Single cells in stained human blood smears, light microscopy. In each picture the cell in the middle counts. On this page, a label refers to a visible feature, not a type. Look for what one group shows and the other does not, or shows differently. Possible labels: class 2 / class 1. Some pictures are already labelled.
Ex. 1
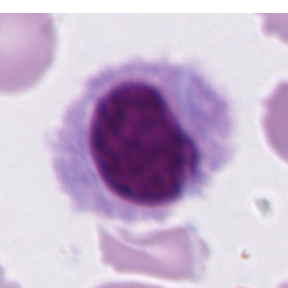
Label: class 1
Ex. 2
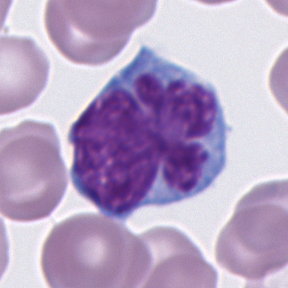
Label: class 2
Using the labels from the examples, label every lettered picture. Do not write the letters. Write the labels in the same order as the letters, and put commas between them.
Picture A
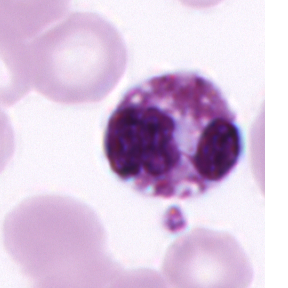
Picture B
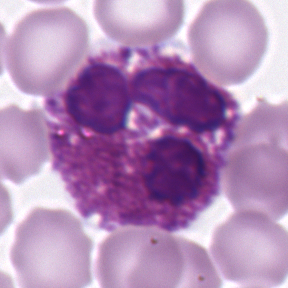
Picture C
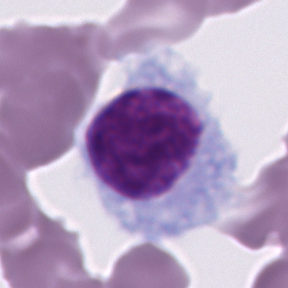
class 2, class 2, class 1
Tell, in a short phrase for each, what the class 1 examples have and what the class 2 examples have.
class 1, single compact nucleus; class 2, lobed nucleus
